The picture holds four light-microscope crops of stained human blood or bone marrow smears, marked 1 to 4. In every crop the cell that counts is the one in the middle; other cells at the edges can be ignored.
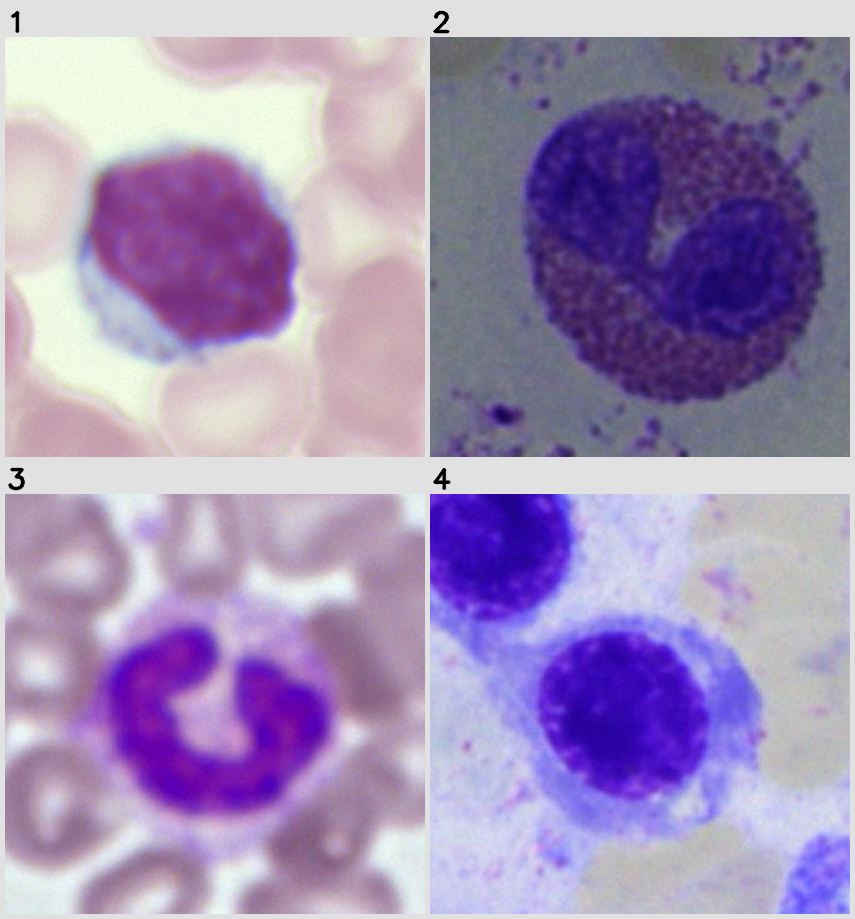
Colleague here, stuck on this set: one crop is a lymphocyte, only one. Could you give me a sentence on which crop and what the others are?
Crop 1 holds a lymphocyte at its centre, while crop 2 is an eosinophil, crop 3 is a band neutrophil and crop 4 is a normoblast.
